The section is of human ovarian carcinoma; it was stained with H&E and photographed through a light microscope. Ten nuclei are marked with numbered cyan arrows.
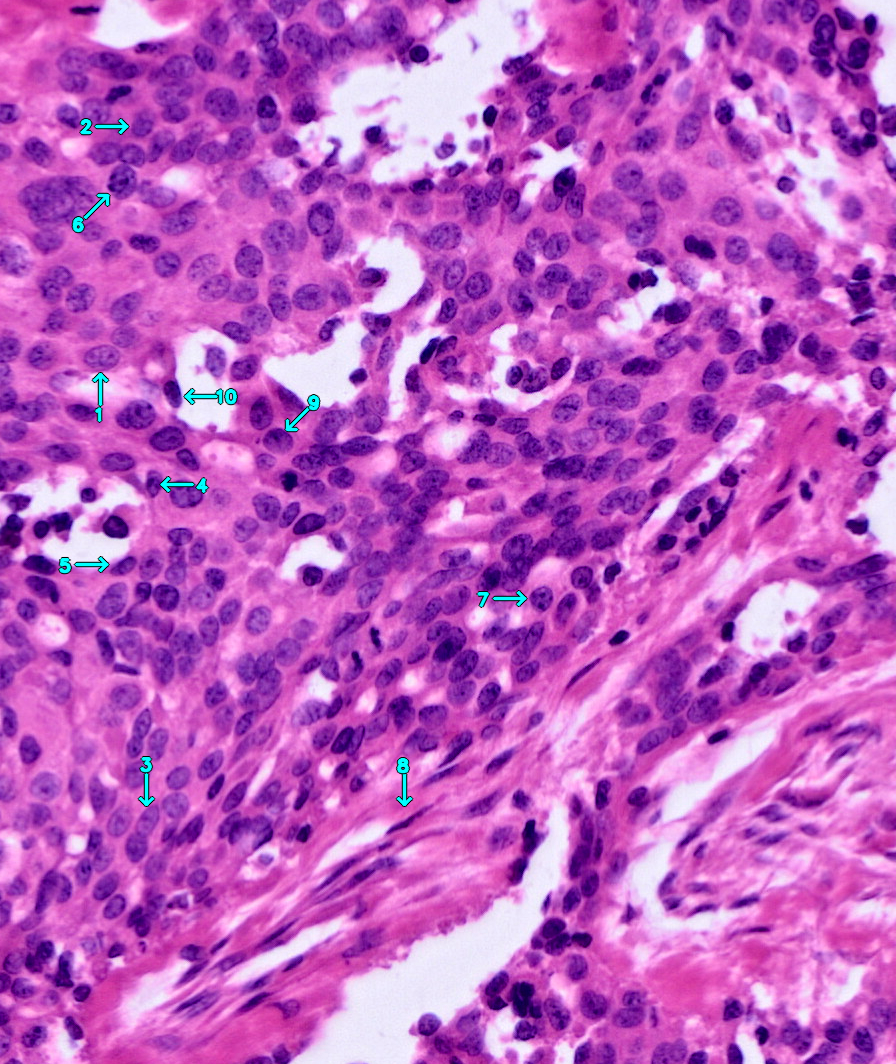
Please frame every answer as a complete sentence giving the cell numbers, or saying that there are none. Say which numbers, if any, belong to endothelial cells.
Among the cells with numbered nuclei there are no endothelial cells.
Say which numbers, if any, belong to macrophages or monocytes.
Classified as macrophages or monocytes are the cells numbered 4, 6 and 7.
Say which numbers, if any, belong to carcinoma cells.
In short, the numbered cells 1, 2, 3, 5, 9 and 10 are carcinoma cells.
